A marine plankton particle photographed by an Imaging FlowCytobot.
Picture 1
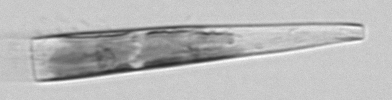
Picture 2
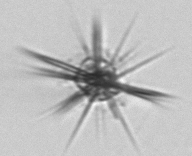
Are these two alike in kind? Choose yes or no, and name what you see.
No. First Licmophora, second a radiolarian.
